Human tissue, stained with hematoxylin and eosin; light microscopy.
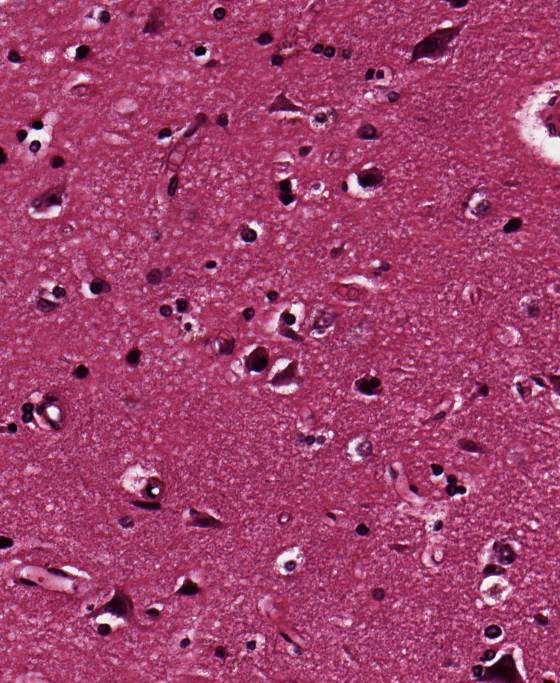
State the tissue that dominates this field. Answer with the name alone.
cerebral cortex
